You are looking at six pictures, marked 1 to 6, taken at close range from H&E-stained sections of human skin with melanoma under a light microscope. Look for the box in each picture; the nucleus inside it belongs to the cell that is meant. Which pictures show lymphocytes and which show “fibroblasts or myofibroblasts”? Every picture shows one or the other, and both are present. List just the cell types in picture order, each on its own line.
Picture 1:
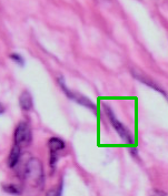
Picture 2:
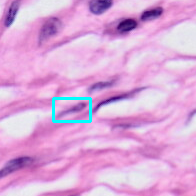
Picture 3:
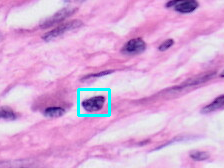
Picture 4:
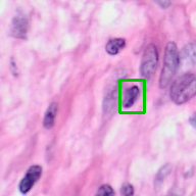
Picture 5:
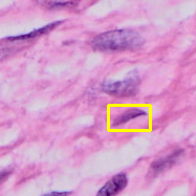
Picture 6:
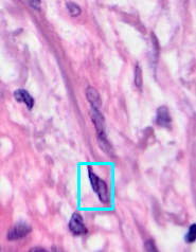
fibroblast or myofibroblast
fibroblast or myofibroblast
lymphocyte
lymphocyte
fibroblast or myofibroblast
fibroblast or myofibroblast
